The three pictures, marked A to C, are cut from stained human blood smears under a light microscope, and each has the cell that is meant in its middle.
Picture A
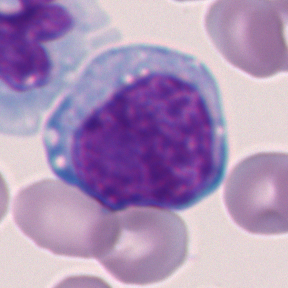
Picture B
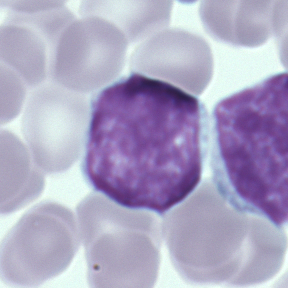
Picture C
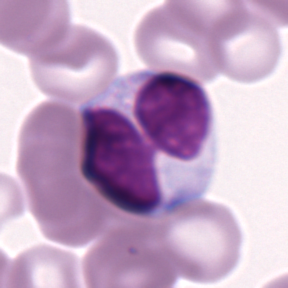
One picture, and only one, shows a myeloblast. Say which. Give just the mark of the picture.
A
